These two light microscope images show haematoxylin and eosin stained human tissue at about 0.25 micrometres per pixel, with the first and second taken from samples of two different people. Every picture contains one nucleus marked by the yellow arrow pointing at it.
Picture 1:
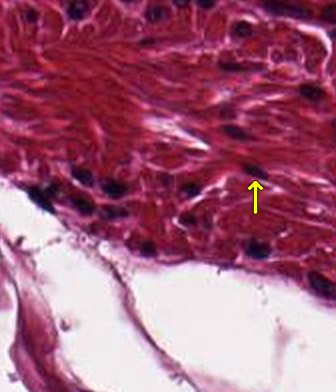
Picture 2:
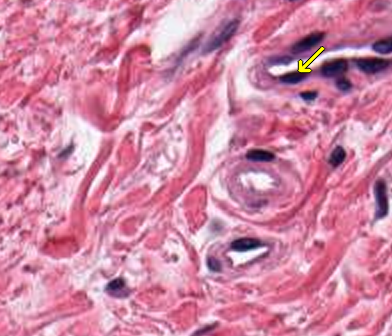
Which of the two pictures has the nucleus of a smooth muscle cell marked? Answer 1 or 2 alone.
1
